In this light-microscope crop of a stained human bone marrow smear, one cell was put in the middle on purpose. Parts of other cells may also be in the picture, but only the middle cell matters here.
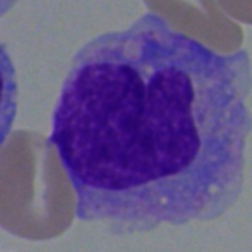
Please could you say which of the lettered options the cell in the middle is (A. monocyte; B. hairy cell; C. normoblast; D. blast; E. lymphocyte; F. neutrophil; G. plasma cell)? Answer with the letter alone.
A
